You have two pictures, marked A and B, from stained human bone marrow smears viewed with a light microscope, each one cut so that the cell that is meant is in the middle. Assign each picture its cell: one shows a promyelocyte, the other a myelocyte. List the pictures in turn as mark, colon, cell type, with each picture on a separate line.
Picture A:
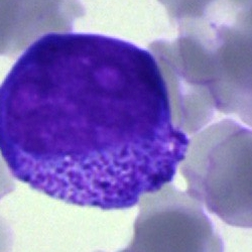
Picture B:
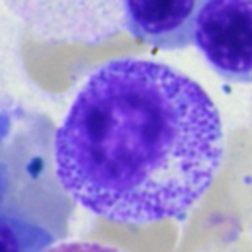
A: promyelocyte
B: myelocyte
